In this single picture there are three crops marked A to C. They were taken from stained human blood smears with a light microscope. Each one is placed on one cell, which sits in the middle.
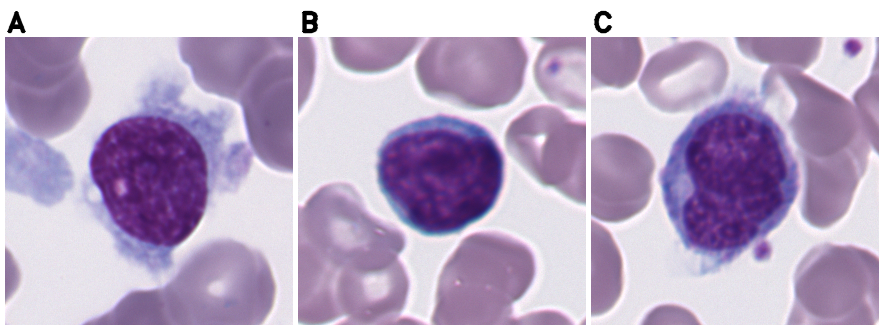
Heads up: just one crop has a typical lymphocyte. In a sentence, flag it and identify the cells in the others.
Crop B shows a typical lymphocyte, and meanwhile crop A is a hairy cell and crop C is a monocyte.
